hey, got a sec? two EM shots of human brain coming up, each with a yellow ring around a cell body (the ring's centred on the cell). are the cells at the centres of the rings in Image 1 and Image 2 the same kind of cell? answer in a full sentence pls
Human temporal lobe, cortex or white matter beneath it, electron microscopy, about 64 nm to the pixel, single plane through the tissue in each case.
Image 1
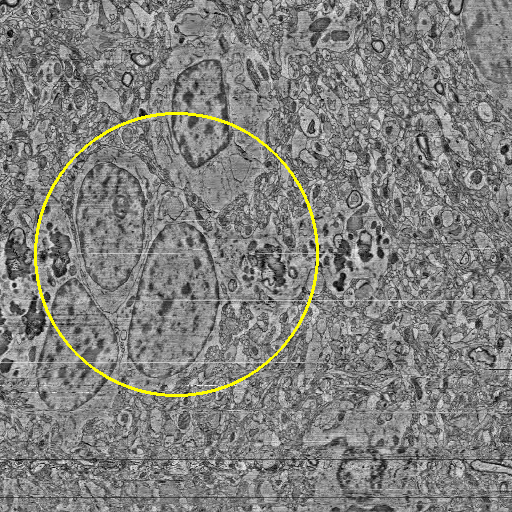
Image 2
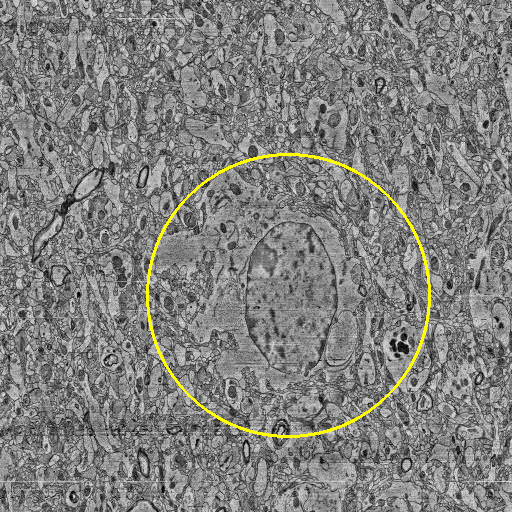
Yes, both are the same kind of cell.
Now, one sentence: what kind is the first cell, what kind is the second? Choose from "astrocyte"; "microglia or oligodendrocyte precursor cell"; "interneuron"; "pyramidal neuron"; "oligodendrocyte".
Each of the two cells is an astrocyte.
